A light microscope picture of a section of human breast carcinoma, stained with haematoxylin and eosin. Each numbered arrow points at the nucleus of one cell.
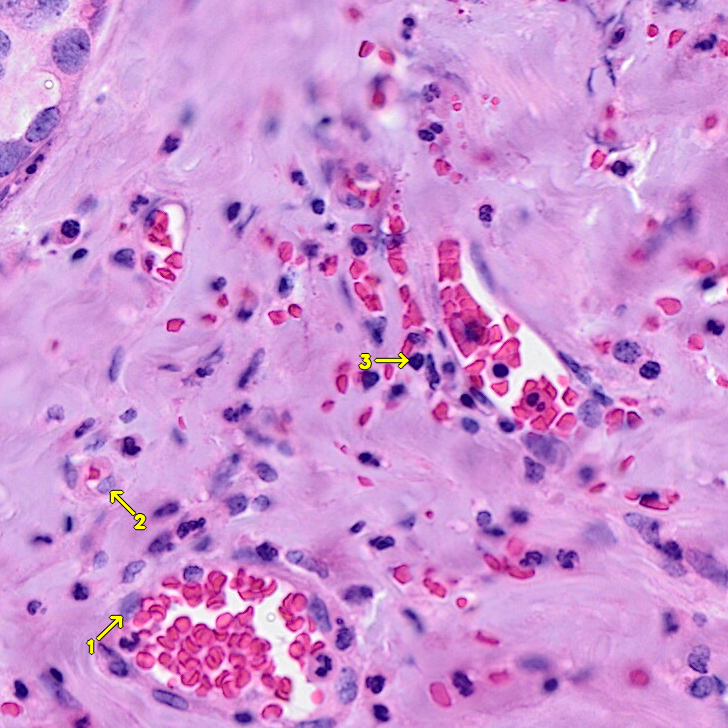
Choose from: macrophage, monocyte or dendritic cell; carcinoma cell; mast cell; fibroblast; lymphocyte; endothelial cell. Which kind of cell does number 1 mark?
endothelial cell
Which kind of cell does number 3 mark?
lymphocyte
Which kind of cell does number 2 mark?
endothelial cell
